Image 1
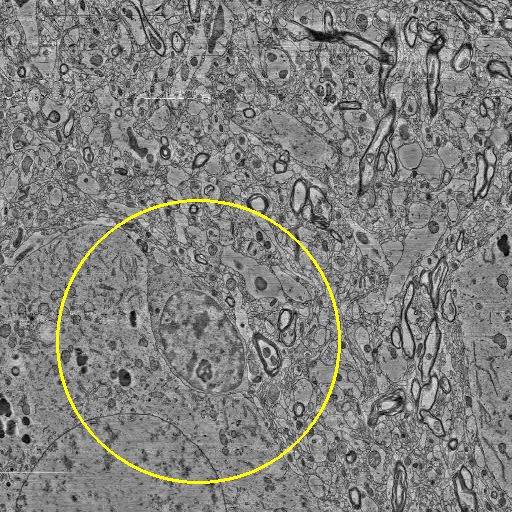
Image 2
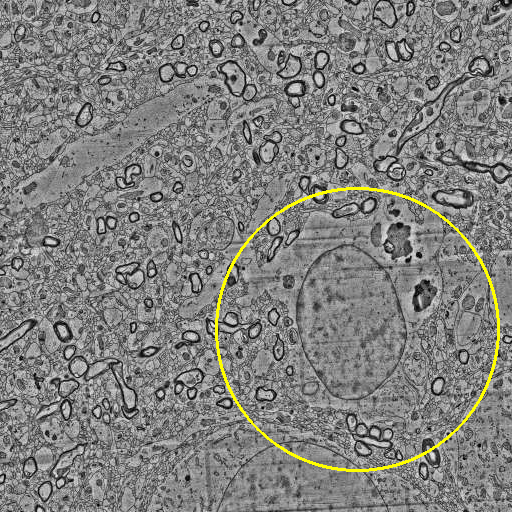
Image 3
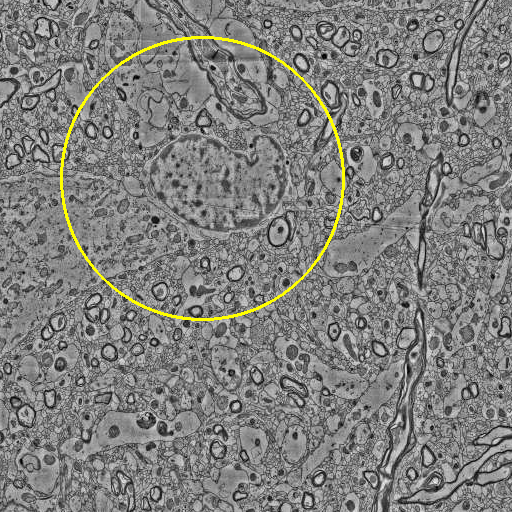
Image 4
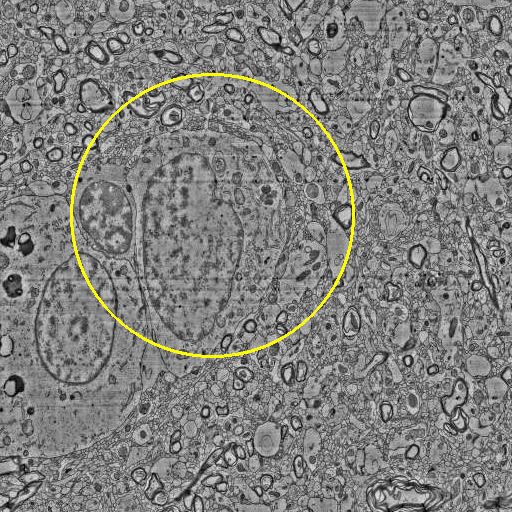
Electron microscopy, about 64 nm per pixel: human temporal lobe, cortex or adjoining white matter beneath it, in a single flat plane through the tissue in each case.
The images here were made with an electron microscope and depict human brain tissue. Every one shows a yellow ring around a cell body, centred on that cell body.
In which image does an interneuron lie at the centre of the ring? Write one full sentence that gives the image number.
My answer is image 4, where the asked-for cell sits at the centre of the ring.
